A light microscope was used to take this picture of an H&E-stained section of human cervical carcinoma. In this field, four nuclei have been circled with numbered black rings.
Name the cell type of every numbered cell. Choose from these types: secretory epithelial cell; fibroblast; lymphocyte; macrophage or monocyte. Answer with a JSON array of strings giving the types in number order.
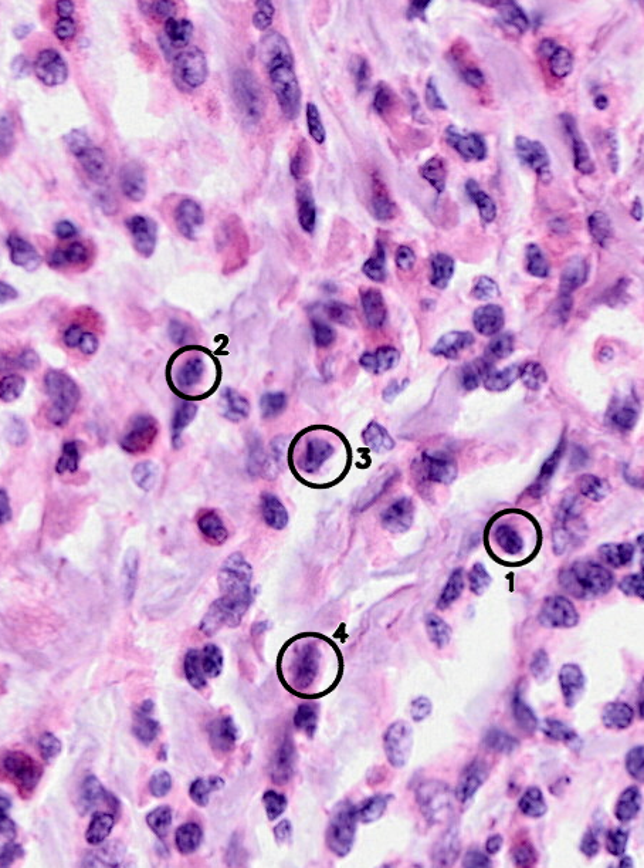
["lymphocyte", "lymphocyte", "lymphocyte", "macrophage or monocyte"]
